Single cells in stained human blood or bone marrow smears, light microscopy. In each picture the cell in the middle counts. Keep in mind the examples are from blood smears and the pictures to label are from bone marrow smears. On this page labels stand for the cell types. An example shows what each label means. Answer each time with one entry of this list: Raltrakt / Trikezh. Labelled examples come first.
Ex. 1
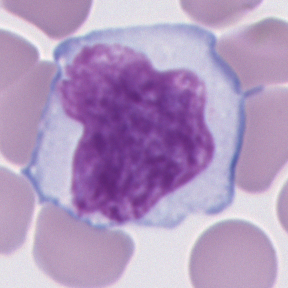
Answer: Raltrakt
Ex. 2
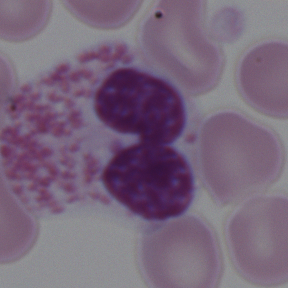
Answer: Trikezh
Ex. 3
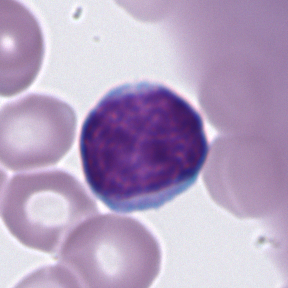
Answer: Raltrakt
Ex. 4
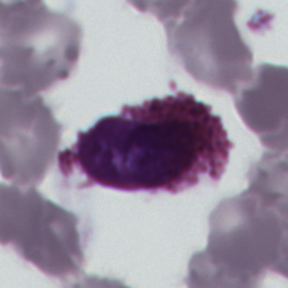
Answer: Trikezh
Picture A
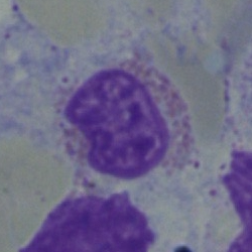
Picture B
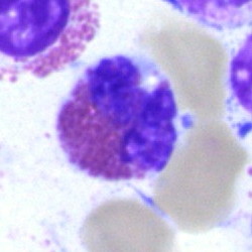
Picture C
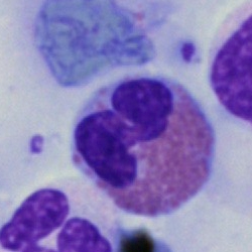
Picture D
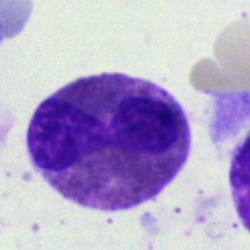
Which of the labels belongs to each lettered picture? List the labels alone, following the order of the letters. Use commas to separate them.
Trikezh, Trikezh, Trikezh, Trikezh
